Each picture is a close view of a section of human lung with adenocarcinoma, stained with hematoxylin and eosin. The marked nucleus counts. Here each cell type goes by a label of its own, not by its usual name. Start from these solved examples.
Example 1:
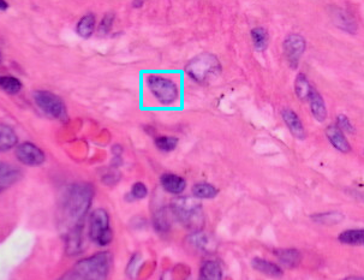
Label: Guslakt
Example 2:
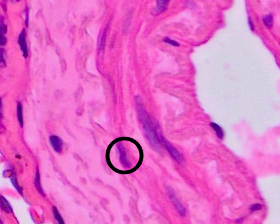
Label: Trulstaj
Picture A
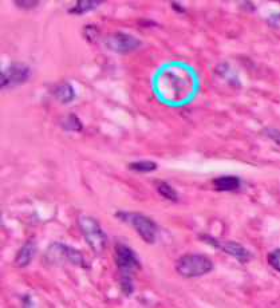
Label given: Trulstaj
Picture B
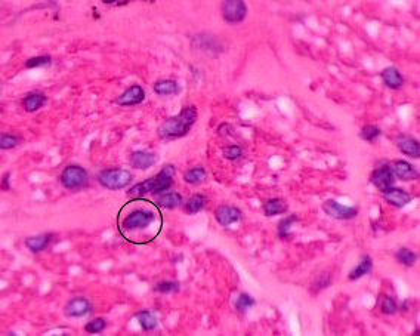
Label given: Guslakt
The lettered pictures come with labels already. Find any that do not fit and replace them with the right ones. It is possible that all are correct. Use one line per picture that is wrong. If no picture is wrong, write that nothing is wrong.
Every label is right.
